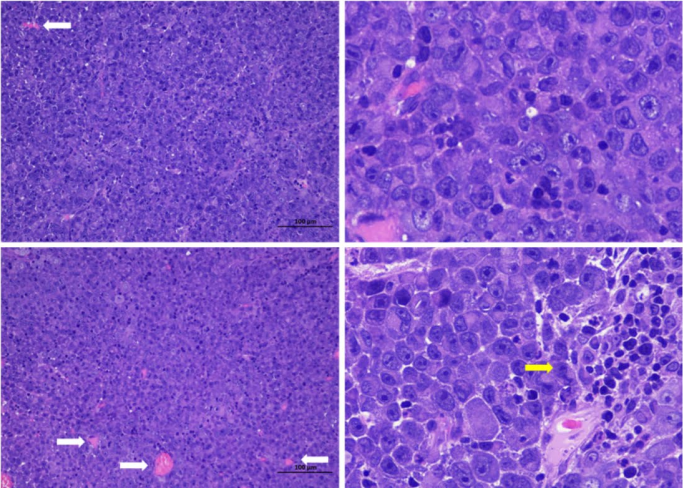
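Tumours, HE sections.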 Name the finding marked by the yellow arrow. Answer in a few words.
Inflammatory cell infiltration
